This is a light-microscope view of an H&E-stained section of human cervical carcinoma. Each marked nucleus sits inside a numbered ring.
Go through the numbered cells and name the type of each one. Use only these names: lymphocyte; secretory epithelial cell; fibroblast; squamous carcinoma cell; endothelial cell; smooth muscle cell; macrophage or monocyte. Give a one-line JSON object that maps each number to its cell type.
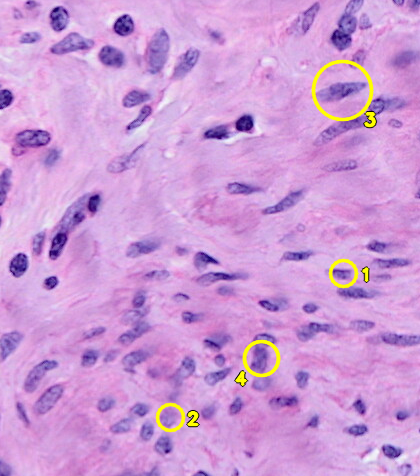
{"1": "fibroblast", "2": "smooth muscle cell", "3": "fibroblast", "4": "smooth muscle cell"}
